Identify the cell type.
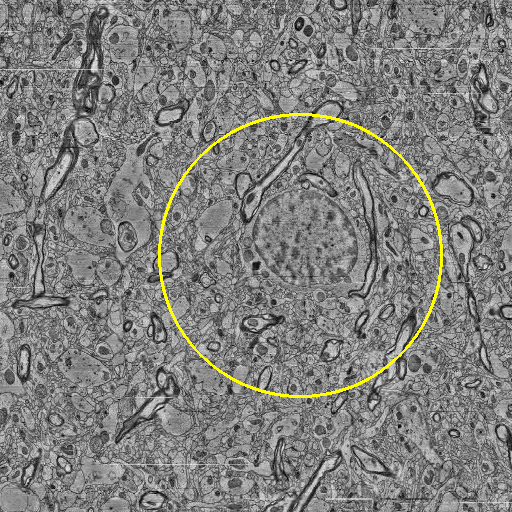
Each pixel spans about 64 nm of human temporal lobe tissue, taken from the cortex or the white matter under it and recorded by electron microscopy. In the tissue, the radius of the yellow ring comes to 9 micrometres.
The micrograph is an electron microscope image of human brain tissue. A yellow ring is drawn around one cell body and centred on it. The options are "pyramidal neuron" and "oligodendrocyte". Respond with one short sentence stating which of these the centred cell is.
The cell body in the ring belongs to an oligodendrocyte.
